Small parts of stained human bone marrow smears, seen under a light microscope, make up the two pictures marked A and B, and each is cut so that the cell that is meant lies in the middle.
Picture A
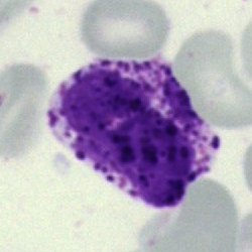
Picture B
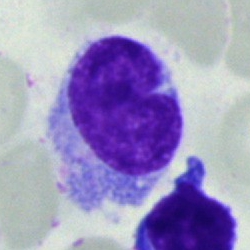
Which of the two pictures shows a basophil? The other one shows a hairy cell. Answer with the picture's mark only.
A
